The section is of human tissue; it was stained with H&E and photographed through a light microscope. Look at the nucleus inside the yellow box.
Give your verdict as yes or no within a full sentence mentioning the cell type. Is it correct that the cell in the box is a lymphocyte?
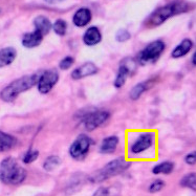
Yes, and to confirm, the cell in the box is a lymphocyte.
